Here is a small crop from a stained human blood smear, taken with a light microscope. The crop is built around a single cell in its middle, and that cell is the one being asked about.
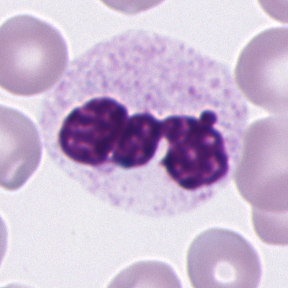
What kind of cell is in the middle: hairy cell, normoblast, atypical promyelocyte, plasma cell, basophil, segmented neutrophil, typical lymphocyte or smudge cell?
segmented neutrophil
